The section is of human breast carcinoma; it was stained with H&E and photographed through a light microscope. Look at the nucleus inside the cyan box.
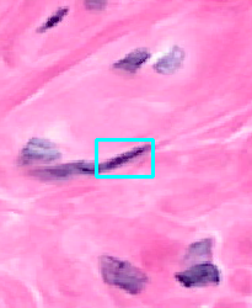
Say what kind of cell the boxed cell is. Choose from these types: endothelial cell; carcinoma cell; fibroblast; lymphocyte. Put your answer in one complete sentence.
The identity of the boxed cell: it is a fibroblast.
